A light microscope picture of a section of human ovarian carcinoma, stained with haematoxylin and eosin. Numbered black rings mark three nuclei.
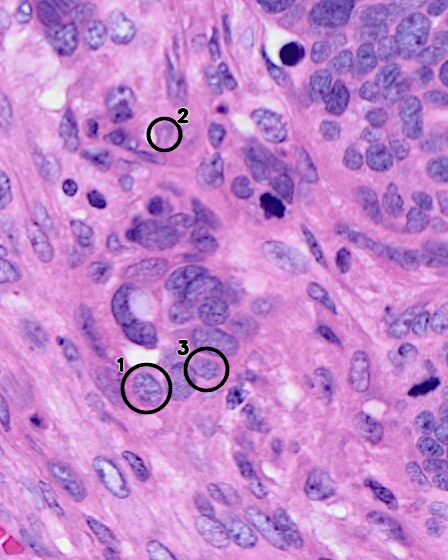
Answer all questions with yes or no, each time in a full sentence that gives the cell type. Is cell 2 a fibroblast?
Yes, correct, the cell with the number 2 is a fibroblast.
